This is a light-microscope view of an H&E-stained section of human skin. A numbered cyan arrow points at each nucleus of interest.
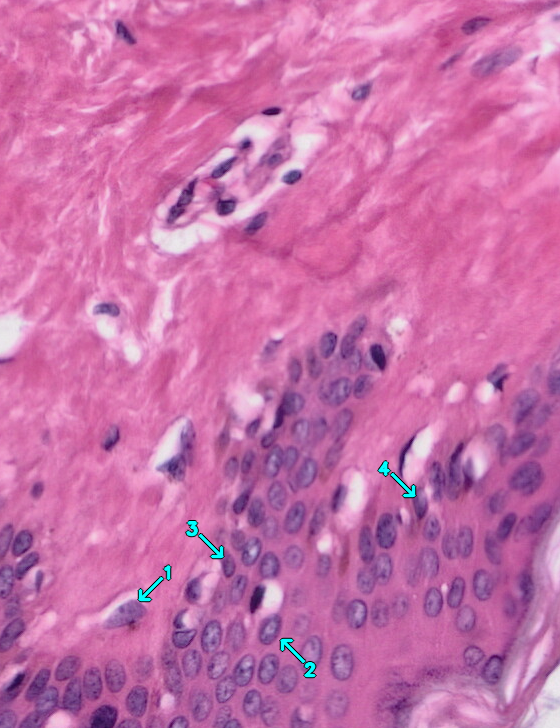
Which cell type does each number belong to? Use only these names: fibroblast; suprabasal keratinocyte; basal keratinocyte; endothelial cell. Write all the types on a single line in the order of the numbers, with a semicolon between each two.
fibroblast; suprabasal keratinocyte; basal keratinocyte; basal keratinocyte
